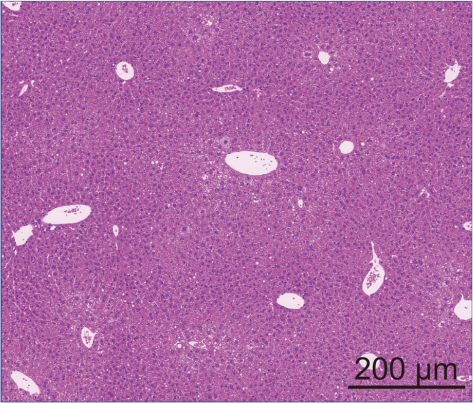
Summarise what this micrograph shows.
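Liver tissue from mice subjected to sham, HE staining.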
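Scattered white, round to oval vessel lumens interrupt the sheets, some holding a few red blood cells. There are no pale washed-out patches, no clumps of red material lying free in the tissue, and no crowded foci of dark nuclei; the overall architecture looks uniform.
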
